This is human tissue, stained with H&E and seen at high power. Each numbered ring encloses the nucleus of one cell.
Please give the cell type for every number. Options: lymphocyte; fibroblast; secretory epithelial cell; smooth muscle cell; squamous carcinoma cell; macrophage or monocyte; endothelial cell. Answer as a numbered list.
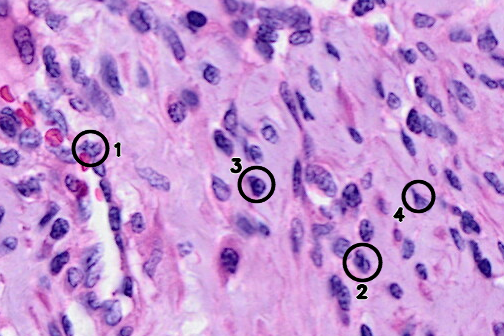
1. endothelial cell
2. lymphocyte
3. lymphocyte
4. fibroblast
